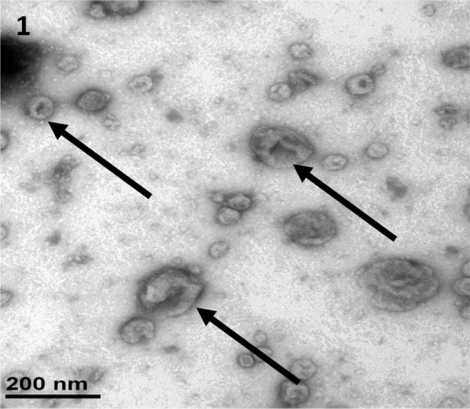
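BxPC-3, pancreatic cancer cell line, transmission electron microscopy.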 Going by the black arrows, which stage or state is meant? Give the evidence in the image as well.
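The marked vesicles have a dark outer rim with a depressed, indented centre. Several vesicles look concave, like a cup or collapsed sphere.
Cup-shaped morphology.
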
